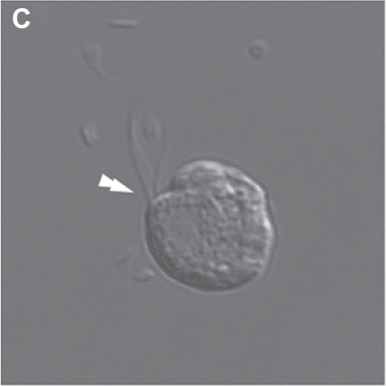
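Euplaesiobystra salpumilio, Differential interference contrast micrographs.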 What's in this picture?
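A flagellate cell is seen in relief, a nearly round body with a densely granular cytoplasm. Long thin flagella arise together from one side of the cell, near a small projecting rostrum, and extend and loop away from it. The cell lacks the lobose pseudopodia of the amoeboid form and has no thick wall. Small particles lie scattered in the background.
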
